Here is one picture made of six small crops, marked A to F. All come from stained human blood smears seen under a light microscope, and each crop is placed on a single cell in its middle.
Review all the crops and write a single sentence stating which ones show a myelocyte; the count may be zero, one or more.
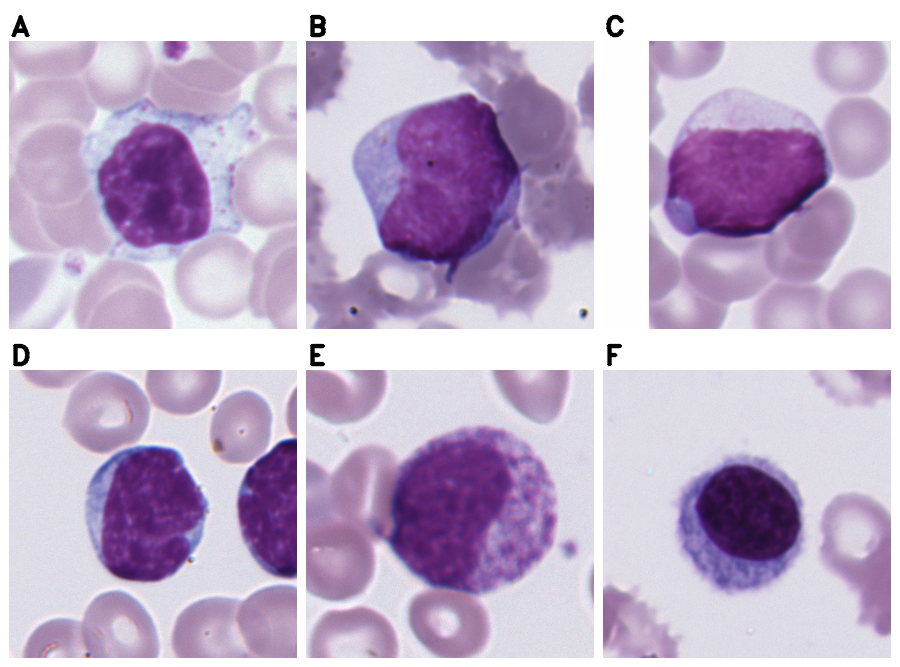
Crop E is the only crop whose central cell is a myelocyte.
